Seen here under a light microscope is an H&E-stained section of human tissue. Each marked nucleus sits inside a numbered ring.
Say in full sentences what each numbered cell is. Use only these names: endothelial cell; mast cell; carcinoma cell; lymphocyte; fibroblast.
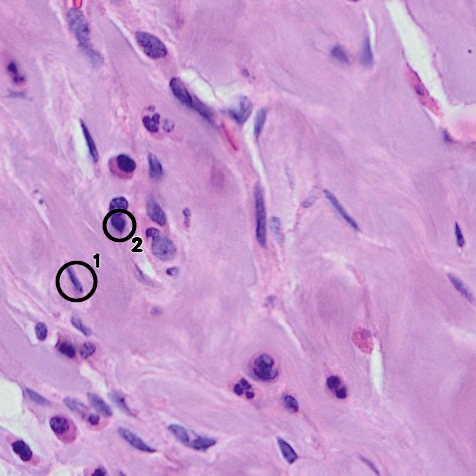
Cell 1 is a fibroblast and cell 2 is a lymphocyte.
